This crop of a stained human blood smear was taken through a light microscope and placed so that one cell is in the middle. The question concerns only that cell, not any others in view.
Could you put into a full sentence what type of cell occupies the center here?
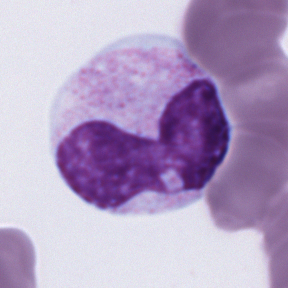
Present in the middle of the crop is a band neutrophil.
